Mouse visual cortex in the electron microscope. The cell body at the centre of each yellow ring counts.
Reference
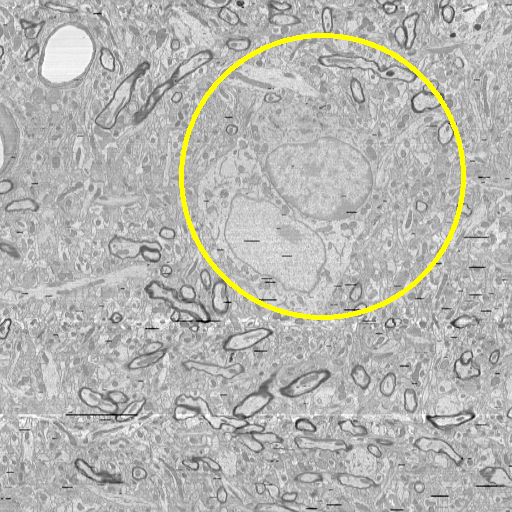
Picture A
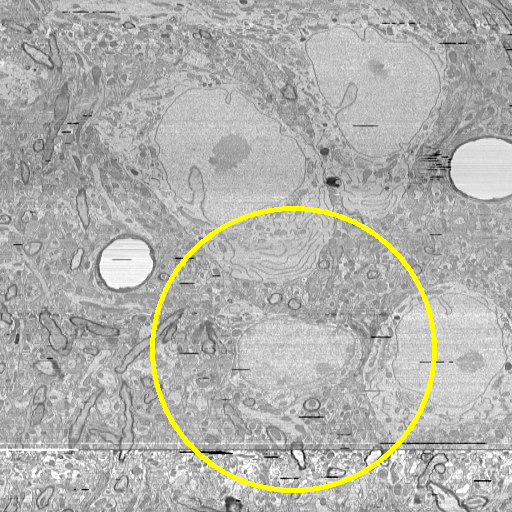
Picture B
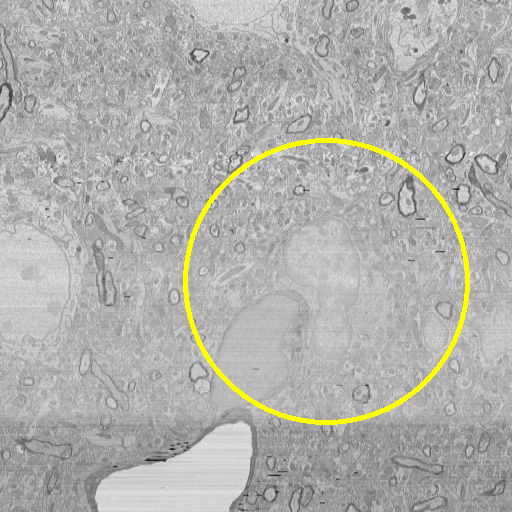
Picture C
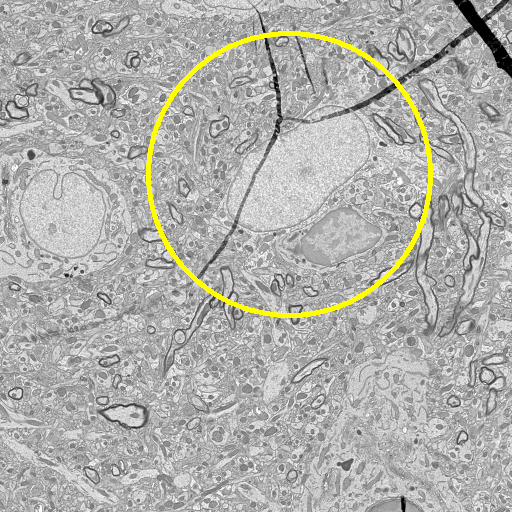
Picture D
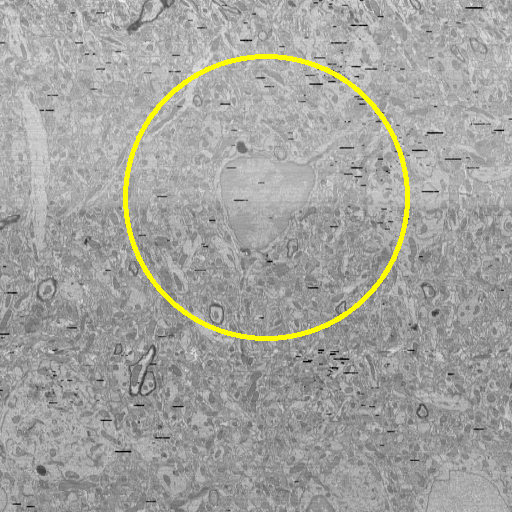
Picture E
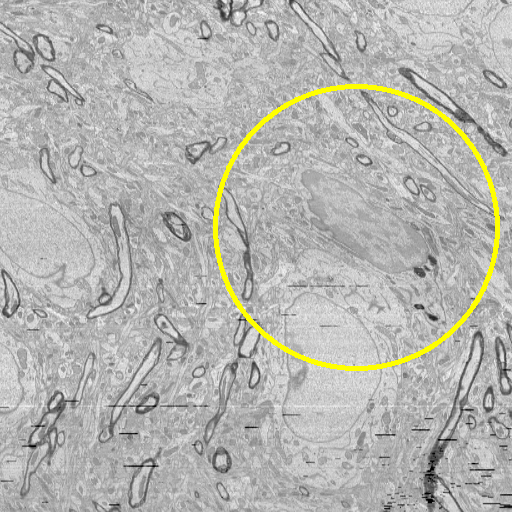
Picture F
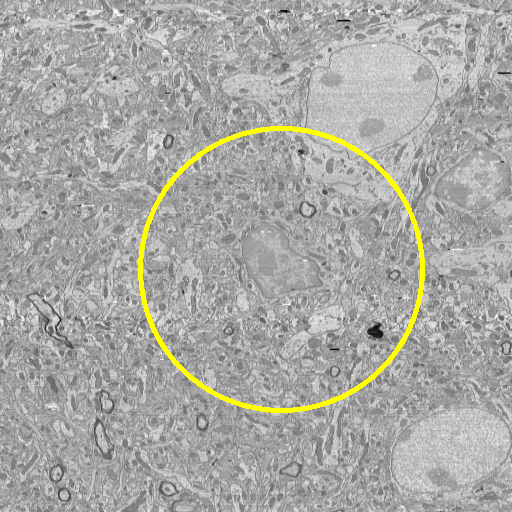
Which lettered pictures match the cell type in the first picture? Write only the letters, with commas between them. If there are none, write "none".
B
